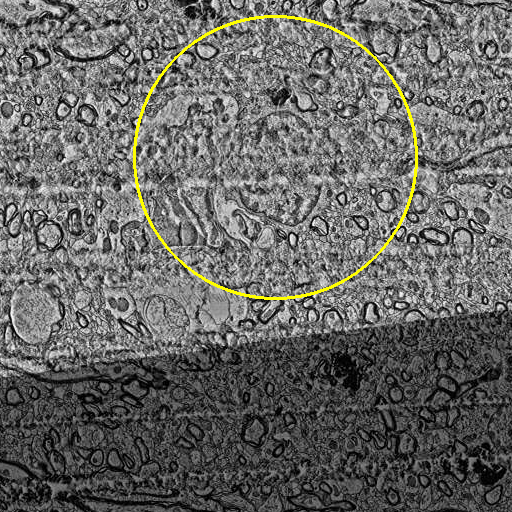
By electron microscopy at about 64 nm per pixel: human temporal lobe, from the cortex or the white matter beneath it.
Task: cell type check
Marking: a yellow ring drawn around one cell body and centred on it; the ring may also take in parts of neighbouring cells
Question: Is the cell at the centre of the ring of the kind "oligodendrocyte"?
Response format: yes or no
yes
